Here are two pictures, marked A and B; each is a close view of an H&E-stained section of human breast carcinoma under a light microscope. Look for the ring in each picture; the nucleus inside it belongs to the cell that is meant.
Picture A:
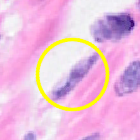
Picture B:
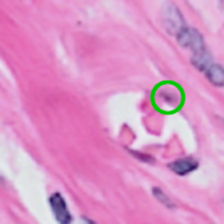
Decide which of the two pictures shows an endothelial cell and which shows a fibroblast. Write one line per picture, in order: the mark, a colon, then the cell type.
A: fibroblast
B: endothelial cell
